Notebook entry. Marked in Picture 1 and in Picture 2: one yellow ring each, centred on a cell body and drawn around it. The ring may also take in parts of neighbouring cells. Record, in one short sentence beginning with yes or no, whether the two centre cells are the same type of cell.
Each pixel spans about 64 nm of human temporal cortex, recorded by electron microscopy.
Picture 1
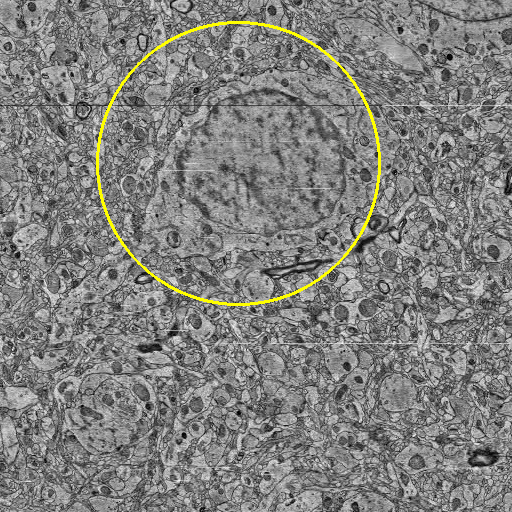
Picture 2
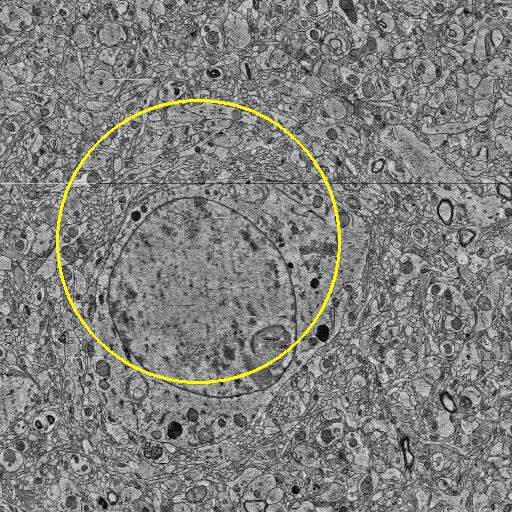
No, they are two types of cell.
